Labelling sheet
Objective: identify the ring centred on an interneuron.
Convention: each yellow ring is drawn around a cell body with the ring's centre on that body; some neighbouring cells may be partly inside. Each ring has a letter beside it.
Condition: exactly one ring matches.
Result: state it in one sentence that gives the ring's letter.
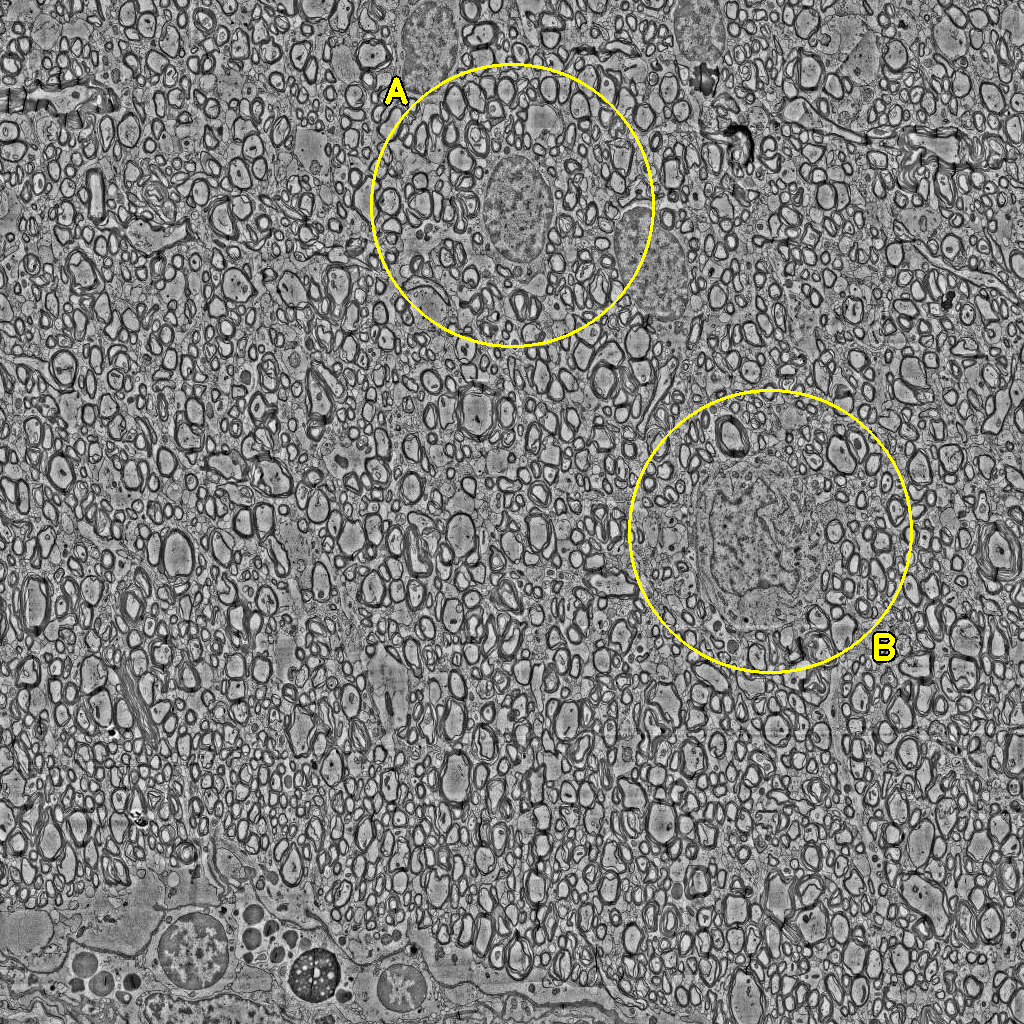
It lies at the centre of ring B.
